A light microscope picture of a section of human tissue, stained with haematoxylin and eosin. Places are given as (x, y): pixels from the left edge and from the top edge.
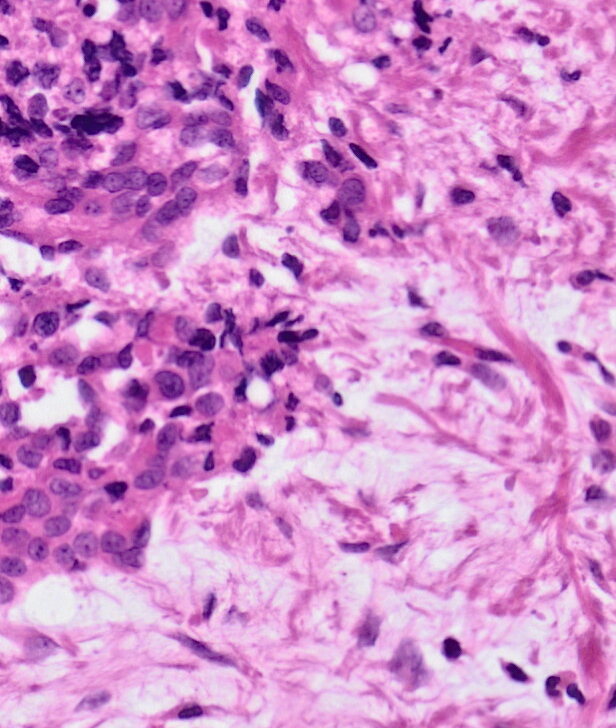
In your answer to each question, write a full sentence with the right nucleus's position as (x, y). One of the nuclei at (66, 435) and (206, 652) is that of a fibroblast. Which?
The cell to which the nucleus at (206, 652) belongs is a fibroblast.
